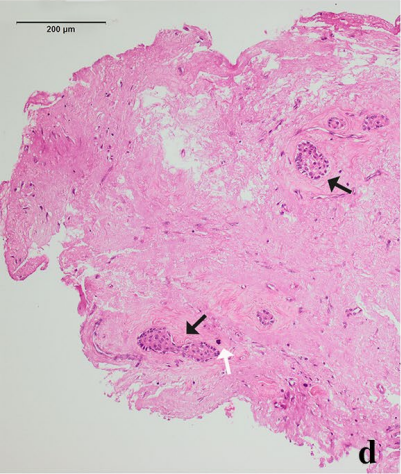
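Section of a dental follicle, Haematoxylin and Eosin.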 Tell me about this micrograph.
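Set within this fibrous background are a few small, rounded islands of tightly packed cells. Their nuclei are purple and crowded together, which makes them stand out sharply from the sparse nuclei around them. Beside one island lies a tiny, deeply purple dot that stains more darkly than any nucleus in the field.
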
